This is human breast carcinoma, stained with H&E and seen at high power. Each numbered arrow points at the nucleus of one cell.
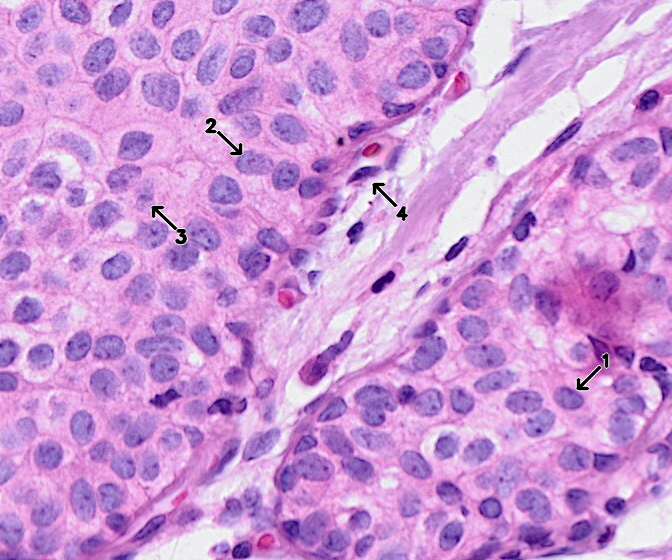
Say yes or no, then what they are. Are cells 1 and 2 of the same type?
Yes, both are carcinoma cells.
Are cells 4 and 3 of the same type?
No, cell 4 is an endothelial cell and cell 3 is a carcinoma cell.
